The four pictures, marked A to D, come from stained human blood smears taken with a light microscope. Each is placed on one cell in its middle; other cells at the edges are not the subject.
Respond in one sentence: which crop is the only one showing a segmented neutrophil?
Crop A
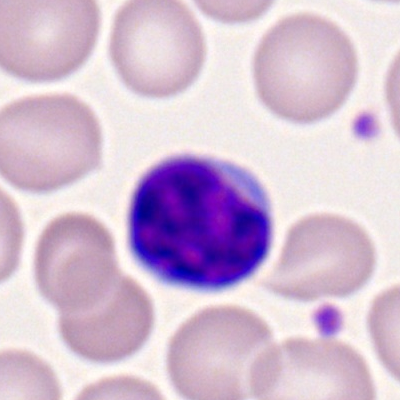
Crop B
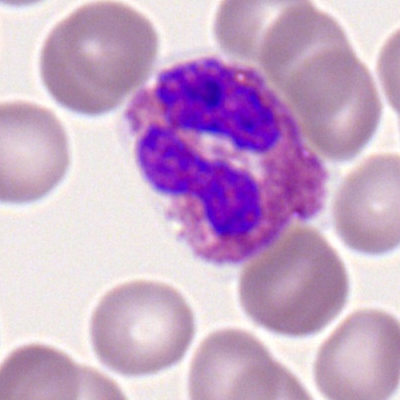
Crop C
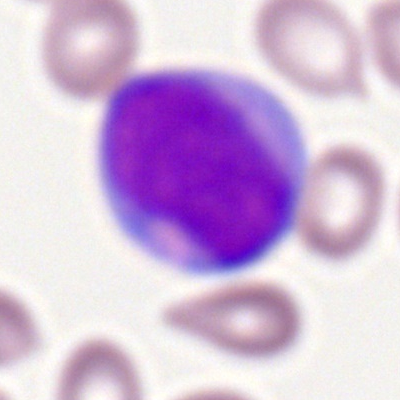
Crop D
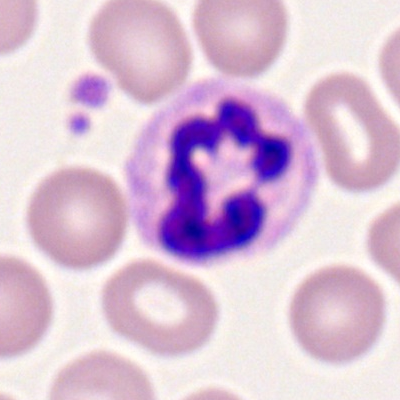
Crop D is the crop featuring a segmented neutrophil at its center.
